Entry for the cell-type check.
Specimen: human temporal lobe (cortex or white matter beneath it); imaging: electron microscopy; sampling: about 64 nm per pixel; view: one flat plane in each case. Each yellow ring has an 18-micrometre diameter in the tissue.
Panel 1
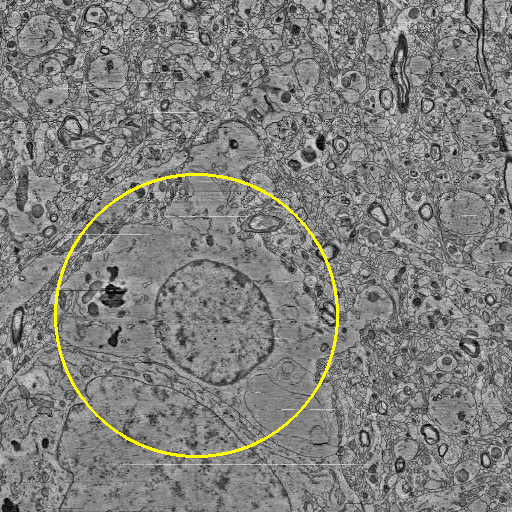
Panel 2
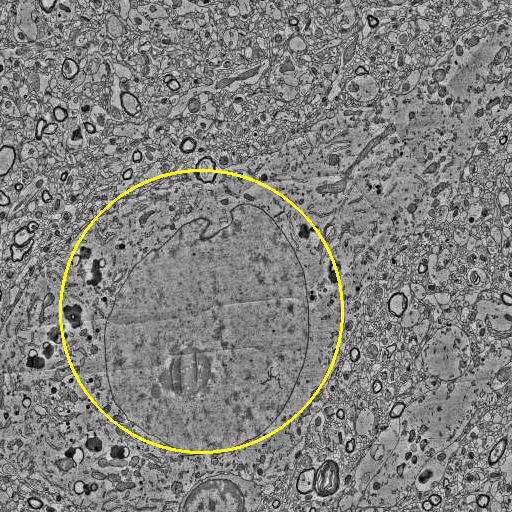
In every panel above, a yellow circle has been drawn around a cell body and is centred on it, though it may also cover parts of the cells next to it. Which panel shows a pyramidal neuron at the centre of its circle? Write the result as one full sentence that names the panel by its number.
Panel 2 shows it at the centre of its circle.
